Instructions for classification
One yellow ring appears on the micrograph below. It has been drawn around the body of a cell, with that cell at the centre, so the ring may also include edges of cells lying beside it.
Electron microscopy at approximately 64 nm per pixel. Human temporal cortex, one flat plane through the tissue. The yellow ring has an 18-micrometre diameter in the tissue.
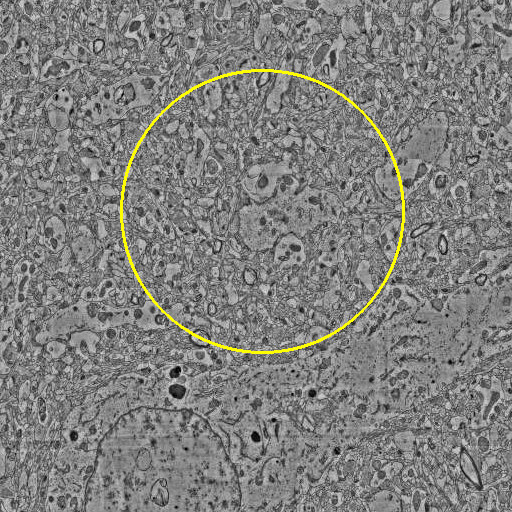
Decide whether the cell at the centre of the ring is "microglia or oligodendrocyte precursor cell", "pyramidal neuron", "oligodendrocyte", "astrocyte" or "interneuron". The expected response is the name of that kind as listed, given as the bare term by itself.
interneuron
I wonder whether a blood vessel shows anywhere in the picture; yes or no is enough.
No, there is none.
